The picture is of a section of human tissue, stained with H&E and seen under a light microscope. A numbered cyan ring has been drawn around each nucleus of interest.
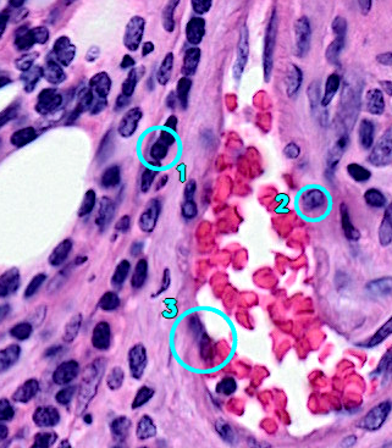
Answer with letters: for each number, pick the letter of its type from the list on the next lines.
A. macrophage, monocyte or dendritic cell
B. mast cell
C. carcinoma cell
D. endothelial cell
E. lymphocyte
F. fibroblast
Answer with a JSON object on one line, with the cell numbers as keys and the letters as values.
{"1": "E", "2": "D", "3": "D"}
